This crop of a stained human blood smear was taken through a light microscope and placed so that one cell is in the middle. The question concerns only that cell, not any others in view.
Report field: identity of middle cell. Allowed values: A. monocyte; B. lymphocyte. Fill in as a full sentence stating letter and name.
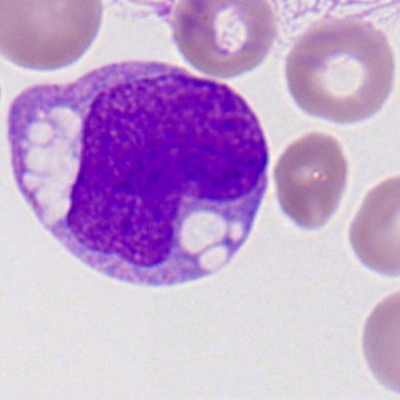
Identification: the cell in the middle is a monocyte, matching option A.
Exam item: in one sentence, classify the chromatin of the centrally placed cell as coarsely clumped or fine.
What stands out is fine chromatin lacking any coarse clumps.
